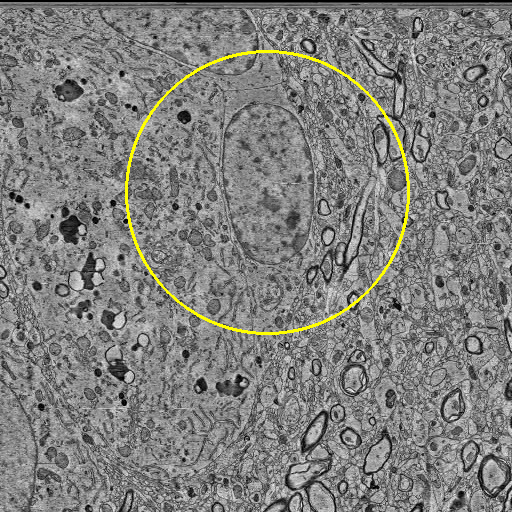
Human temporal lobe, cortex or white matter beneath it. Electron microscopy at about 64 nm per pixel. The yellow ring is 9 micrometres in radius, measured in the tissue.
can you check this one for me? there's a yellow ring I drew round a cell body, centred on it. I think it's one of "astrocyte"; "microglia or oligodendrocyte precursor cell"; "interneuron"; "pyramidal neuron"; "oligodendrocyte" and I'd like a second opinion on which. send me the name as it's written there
microglia or oligodendrocyte precursor cell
